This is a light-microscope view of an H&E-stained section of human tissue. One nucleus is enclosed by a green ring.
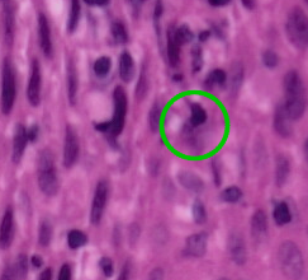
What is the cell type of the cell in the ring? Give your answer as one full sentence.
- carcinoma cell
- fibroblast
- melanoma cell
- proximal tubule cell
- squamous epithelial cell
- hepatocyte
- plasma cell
What the cell in the ring represents is a squamous epithelial cell.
